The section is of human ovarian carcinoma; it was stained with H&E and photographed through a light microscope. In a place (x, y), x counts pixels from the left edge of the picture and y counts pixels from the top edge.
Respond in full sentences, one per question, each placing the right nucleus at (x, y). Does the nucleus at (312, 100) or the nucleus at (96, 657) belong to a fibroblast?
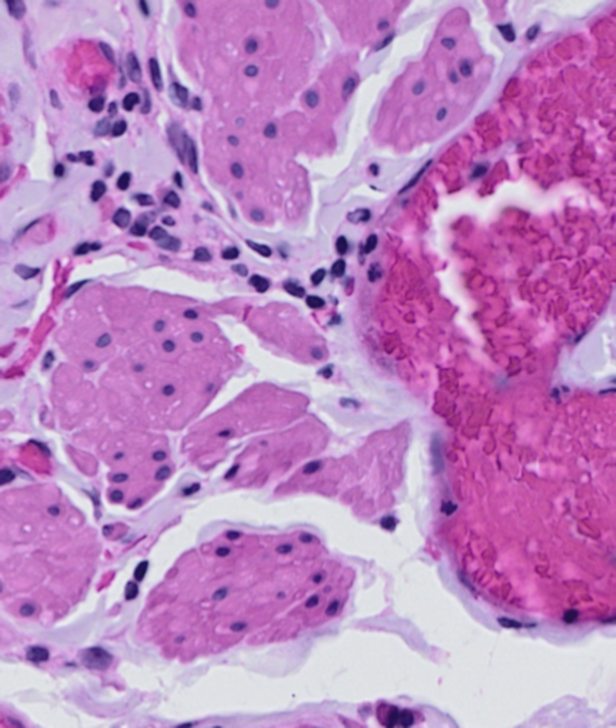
The nucleus that belongs to a fibroblast sits at (96, 657).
